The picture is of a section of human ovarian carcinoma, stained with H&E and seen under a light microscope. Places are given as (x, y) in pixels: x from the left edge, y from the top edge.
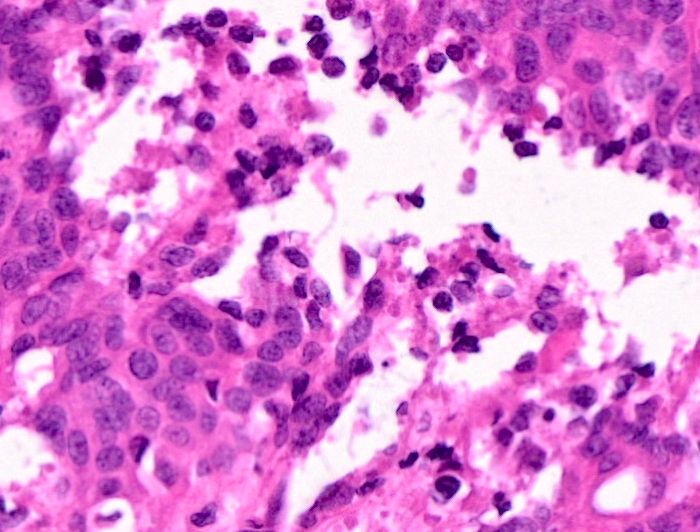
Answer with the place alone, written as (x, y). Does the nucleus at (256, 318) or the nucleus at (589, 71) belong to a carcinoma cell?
(589, 71)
